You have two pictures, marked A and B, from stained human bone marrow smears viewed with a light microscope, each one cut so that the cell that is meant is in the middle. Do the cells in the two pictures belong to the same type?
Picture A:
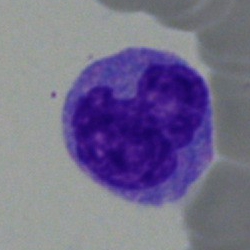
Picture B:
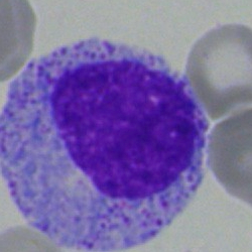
no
